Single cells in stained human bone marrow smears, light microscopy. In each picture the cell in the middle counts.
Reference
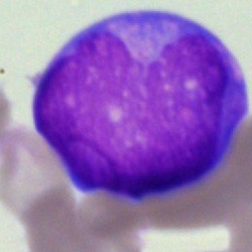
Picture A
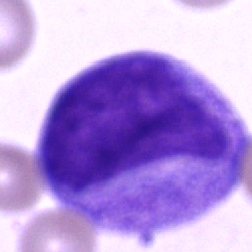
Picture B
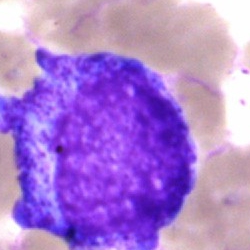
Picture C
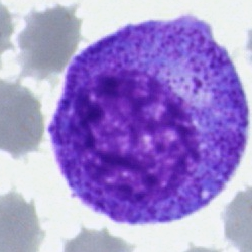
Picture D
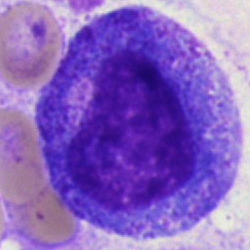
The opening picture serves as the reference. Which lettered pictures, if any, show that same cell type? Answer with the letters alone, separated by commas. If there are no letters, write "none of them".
none of them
